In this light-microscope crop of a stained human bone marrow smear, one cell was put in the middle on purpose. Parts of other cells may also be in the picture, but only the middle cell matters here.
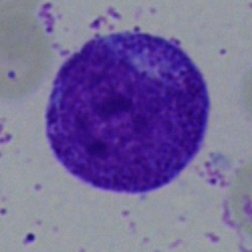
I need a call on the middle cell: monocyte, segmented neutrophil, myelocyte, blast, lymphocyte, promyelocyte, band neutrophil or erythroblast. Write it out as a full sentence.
The middle cell in this particular crop is a promyelocyte.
